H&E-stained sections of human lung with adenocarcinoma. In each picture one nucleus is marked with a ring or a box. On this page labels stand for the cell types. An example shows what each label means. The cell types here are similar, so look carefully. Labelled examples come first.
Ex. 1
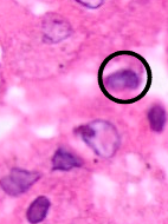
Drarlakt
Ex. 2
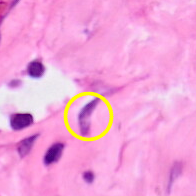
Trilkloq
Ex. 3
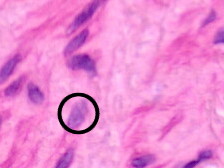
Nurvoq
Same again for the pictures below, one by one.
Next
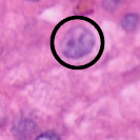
Drarlakt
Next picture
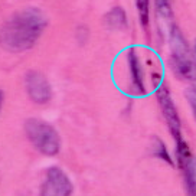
Trilkloq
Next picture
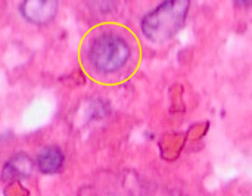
Drarlakt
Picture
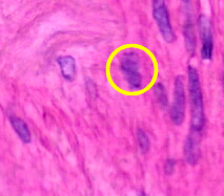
Nurvoq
